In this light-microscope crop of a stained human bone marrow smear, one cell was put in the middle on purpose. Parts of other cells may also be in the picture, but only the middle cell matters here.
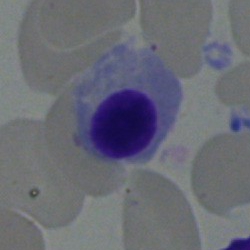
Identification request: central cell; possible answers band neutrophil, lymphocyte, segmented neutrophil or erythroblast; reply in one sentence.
Where the crop is centred, there is an erythroblast.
